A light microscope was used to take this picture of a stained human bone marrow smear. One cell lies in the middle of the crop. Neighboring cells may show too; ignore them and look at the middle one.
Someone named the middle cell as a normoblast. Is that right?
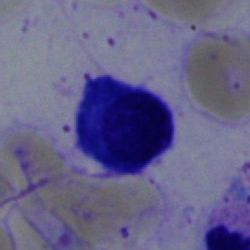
no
